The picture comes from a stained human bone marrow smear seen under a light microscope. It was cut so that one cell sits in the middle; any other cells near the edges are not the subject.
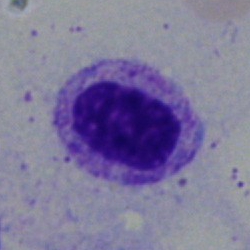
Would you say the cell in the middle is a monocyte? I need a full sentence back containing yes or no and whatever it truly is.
No, the central cell is counted as a myelocyte instead of a monocyte.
